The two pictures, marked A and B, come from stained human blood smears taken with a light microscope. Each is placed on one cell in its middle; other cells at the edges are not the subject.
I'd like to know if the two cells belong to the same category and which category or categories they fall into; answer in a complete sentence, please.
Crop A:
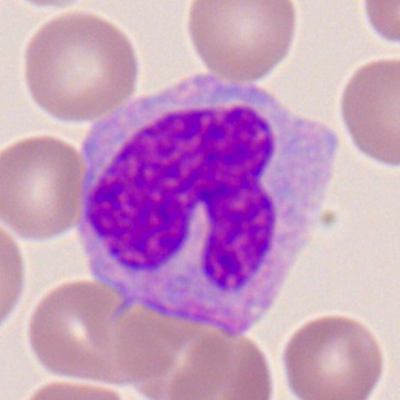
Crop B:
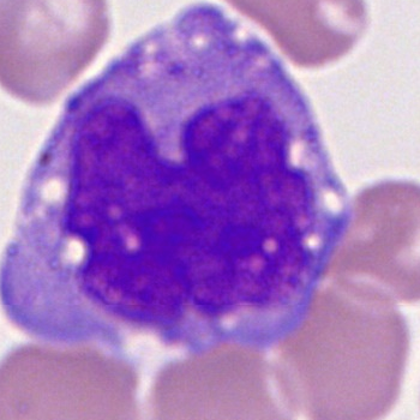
Yes, the central cells, in both crops, are monocytes.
